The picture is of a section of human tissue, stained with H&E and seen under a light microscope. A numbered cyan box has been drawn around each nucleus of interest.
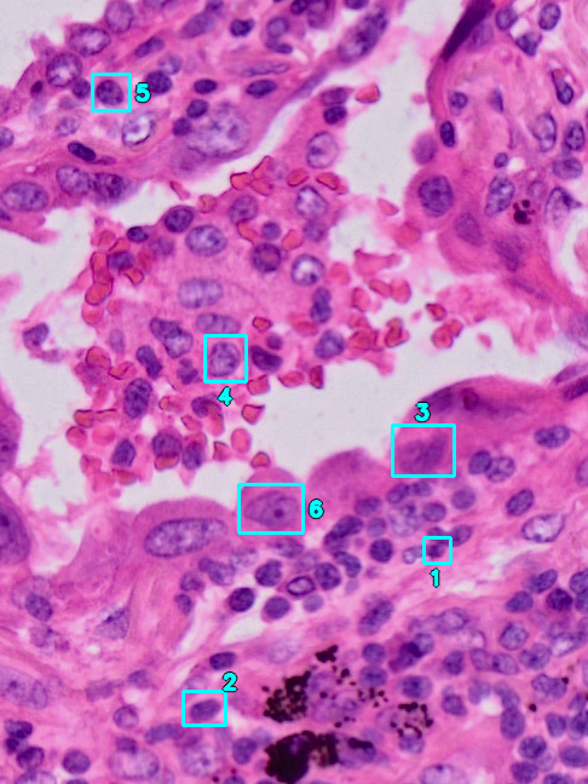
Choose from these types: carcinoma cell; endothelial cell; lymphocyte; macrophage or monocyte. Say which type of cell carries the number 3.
carcinoma cell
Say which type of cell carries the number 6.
carcinoma cell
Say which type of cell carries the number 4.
macrophage or monocyte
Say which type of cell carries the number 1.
lymphocyte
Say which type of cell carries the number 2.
lymphocyte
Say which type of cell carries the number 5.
lymphocyte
